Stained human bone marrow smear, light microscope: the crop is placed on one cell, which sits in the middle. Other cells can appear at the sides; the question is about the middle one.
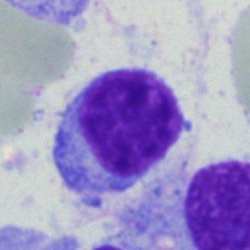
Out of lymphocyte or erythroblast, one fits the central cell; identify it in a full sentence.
For this crop, the cell in the middle is a lymphocyte.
